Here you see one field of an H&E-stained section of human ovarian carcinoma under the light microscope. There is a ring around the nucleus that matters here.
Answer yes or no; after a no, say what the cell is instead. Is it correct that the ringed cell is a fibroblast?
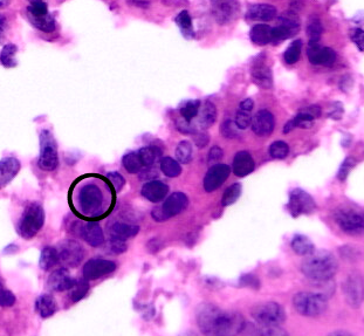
No, it is a carcinoma cell.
